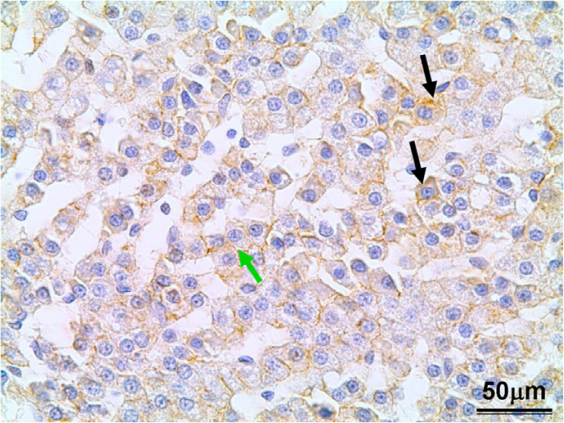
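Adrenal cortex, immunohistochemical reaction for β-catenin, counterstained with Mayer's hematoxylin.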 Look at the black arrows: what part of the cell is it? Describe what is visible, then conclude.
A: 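The arrows point at brown granular color within the cell body around a blue nucleus. The answer: cytoplasmic.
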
